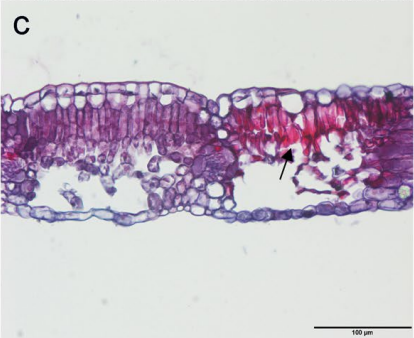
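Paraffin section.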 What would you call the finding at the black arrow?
cell death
